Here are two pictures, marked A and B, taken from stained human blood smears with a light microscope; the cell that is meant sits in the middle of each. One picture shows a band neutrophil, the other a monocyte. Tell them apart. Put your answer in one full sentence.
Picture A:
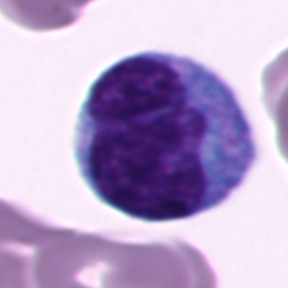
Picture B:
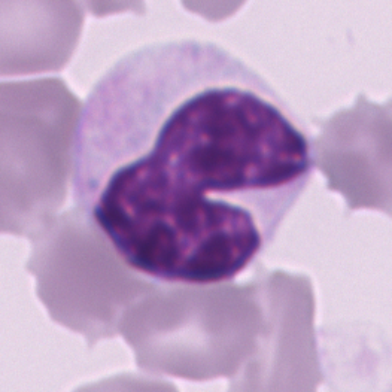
It is picture A that shows a monocyte, and picture B that shows a band neutrophil.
